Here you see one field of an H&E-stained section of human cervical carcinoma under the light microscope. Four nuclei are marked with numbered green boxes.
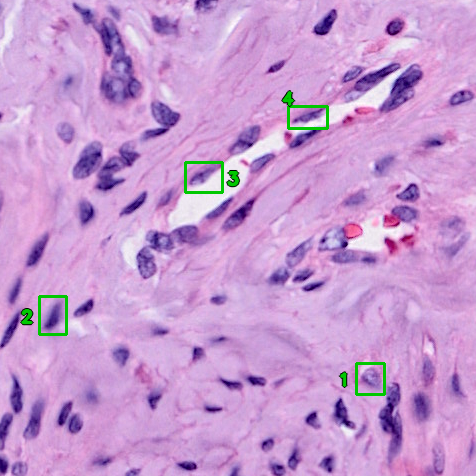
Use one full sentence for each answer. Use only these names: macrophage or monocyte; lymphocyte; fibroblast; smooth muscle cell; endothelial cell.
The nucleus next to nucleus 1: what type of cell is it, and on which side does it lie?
The nearest one is a fibroblast, found below and to the right of nucleus 1.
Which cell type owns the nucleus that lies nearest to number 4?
It is an endothelial cell whose nucleus is nearest to number 4.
